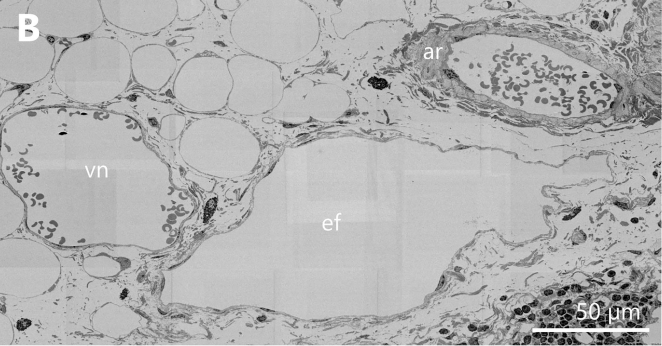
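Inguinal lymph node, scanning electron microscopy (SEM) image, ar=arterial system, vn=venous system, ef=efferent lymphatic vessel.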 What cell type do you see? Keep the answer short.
Erythrocytes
